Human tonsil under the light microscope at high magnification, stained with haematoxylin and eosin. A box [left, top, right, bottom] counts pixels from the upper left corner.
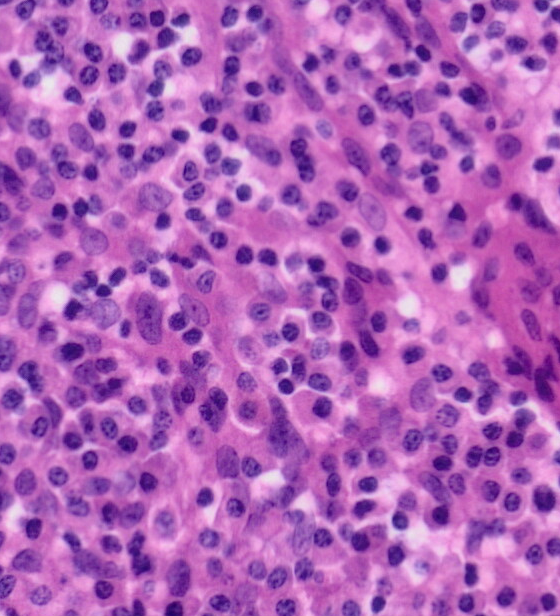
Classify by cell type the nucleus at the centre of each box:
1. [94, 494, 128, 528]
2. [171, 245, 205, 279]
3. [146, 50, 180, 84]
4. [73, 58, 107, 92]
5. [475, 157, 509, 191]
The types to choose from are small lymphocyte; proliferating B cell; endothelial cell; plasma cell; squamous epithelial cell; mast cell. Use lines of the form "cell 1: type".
cell 1: plasma cell
cell 2: squamous epithelial cell
cell 3: plasma cell
cell 4: plasma cell
cell 5: squamous epithelial cell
